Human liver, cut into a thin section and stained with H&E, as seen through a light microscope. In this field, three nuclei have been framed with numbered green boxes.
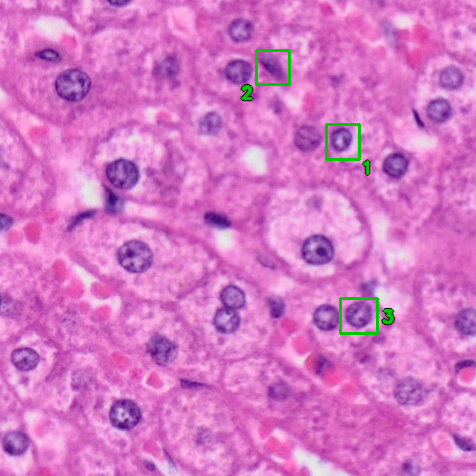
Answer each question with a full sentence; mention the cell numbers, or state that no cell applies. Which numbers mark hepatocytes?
So, the cells with numbers 1 and 3 are hepatocytes.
